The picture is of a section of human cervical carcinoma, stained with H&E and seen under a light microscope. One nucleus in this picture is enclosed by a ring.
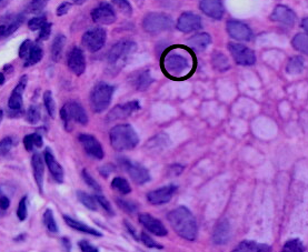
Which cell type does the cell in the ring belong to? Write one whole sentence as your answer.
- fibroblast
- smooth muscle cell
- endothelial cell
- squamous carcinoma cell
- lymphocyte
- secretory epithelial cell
The cell in the ring is a secretory epithelial cell.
